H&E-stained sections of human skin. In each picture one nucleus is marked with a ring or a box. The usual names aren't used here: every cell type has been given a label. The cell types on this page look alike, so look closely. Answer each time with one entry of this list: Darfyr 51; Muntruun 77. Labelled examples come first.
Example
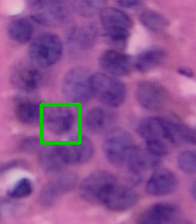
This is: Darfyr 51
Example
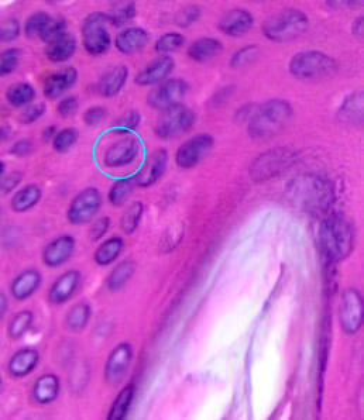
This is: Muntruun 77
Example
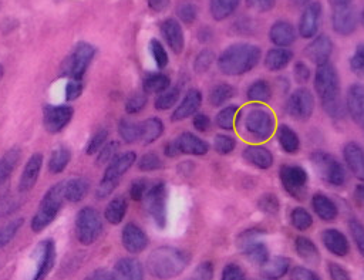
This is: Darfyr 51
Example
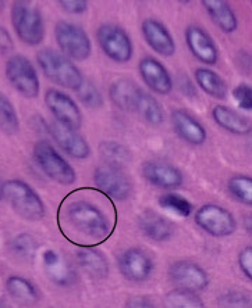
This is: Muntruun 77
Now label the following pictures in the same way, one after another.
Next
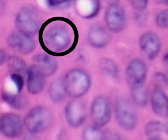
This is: Muntruun 77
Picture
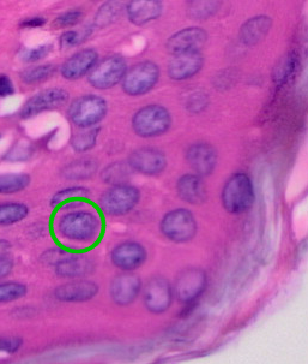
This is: Muntruun 77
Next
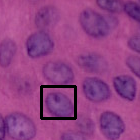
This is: Muntruun 77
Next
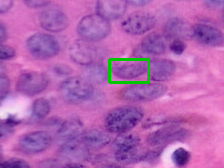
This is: Darfyr 51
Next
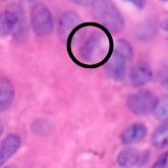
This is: Darfyr 51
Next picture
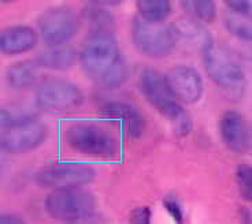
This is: Darfyr 51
